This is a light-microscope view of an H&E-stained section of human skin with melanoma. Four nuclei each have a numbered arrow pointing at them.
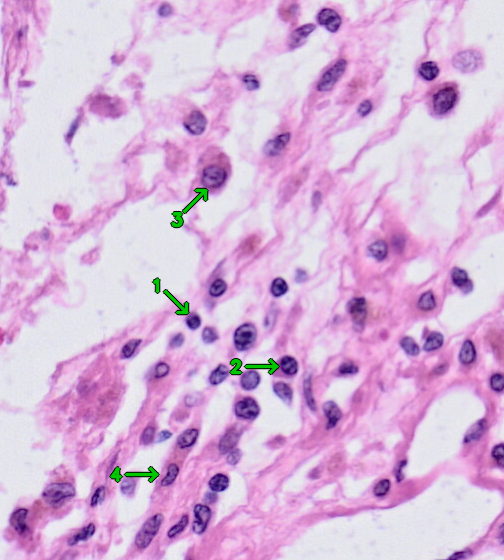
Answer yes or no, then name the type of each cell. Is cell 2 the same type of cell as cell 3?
No; cell 2 is a plasma cell, whereas cell 3 is a macrophage or monocyte.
